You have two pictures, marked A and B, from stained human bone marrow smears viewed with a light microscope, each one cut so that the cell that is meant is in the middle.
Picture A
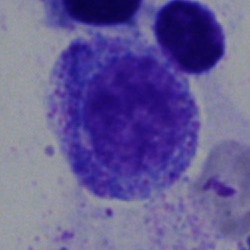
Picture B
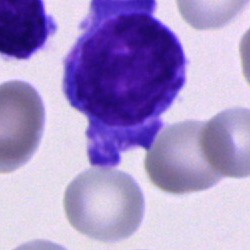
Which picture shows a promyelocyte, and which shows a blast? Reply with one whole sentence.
It is picture A that shows a promyelocyte, and picture B that shows a blast.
